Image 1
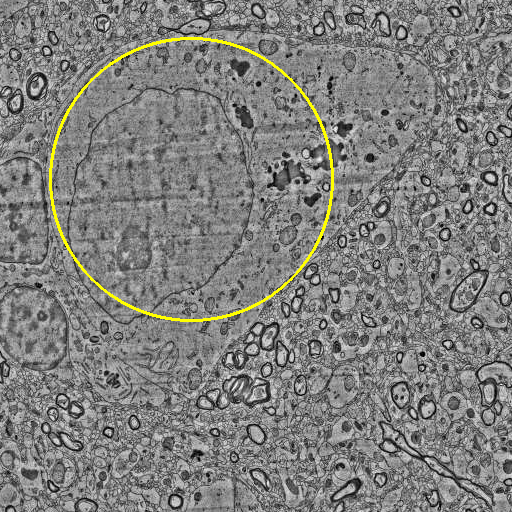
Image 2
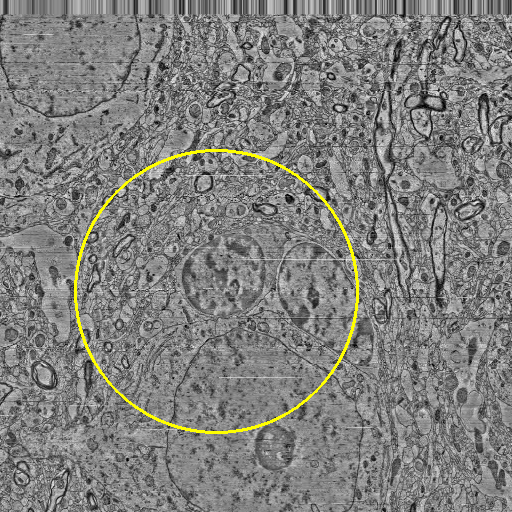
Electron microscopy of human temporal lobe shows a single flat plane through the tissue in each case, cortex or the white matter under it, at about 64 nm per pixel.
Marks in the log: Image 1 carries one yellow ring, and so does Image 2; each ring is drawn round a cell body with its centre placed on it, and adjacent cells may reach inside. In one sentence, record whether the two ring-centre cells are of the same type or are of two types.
The two cells at the ring centres, one in each image, are of two types.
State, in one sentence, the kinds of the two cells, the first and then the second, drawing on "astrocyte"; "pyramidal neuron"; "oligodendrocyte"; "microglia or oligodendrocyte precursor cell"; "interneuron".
The ring in the second picture is centred on an oligodendrocyte, the ring in the first on a pyramidal neuron.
